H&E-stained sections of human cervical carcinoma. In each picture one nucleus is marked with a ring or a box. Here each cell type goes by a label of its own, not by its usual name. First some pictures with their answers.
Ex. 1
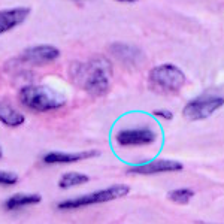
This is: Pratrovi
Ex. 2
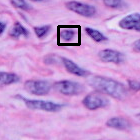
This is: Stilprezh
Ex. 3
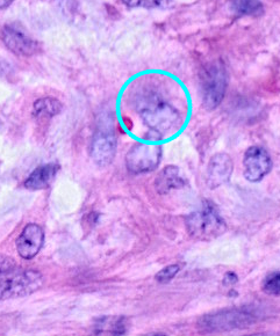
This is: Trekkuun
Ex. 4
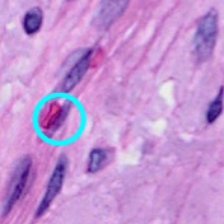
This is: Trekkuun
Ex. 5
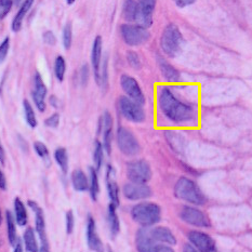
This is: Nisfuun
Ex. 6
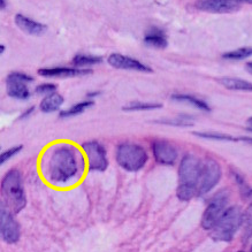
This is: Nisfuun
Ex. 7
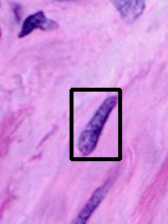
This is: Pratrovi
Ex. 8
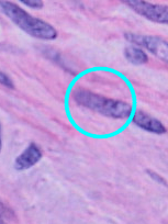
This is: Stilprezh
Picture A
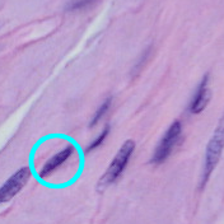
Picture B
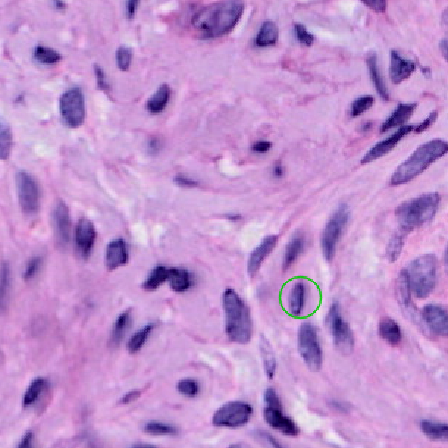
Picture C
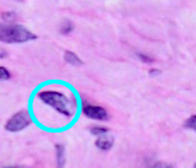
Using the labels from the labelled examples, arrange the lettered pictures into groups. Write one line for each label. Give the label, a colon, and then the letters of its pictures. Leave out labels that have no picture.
Pratrovi: A, B, C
